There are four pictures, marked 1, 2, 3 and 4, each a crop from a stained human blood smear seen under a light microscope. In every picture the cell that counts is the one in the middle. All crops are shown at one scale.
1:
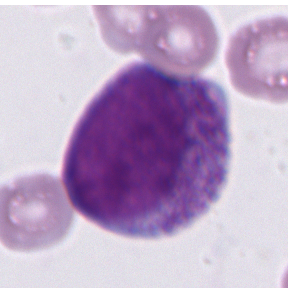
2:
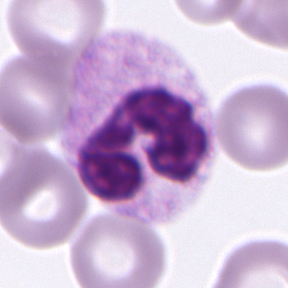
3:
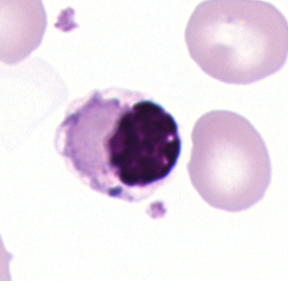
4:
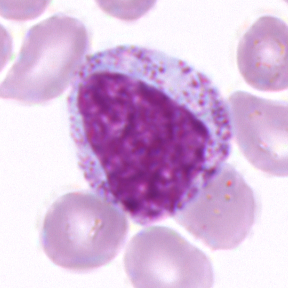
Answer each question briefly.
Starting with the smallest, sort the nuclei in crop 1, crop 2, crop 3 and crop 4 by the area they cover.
3, 2, 4, 1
